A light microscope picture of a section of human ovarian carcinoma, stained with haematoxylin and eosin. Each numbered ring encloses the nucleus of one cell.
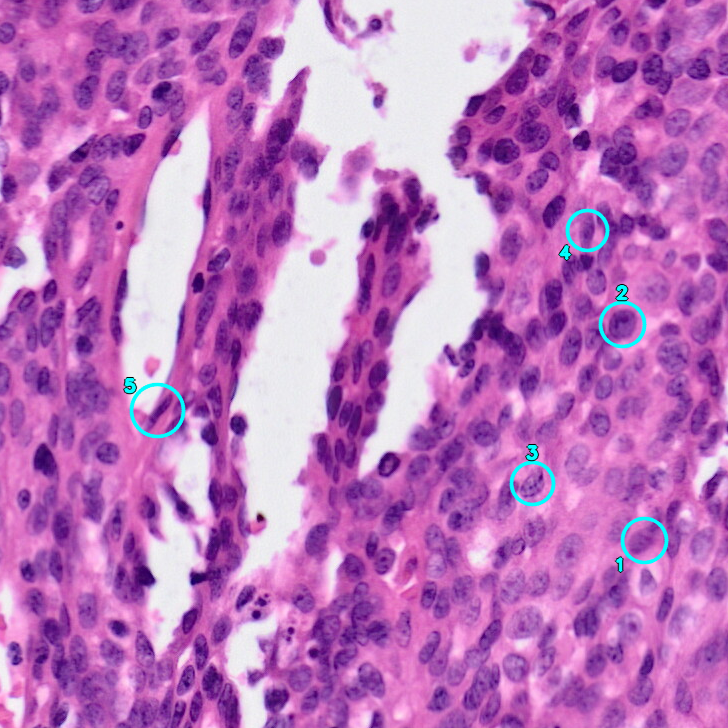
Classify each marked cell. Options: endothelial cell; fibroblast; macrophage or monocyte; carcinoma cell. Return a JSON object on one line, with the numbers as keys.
{"1": "carcinoma cell", "2": "carcinoma cell", "3": "macrophage or monocyte", "4": "carcinoma cell", "5": "endothelial cell"}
